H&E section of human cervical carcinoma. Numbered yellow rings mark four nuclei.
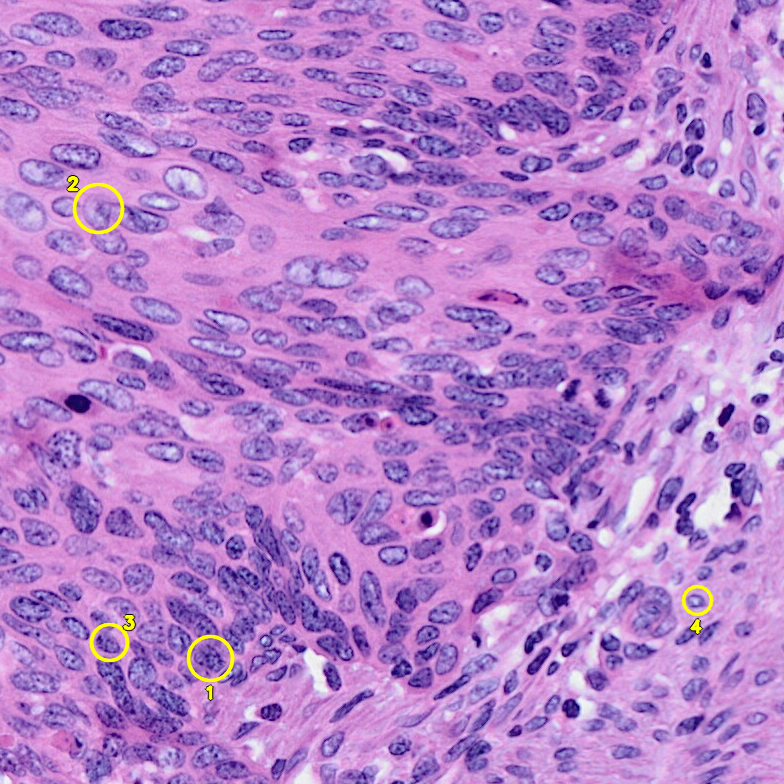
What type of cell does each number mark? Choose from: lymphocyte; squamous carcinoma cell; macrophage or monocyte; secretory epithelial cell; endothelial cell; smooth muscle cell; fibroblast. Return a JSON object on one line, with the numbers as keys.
{"1": "squamous carcinoma cell", "2": "squamous carcinoma cell", "3": "squamous carcinoma cell", "4": "smooth muscle cell"}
